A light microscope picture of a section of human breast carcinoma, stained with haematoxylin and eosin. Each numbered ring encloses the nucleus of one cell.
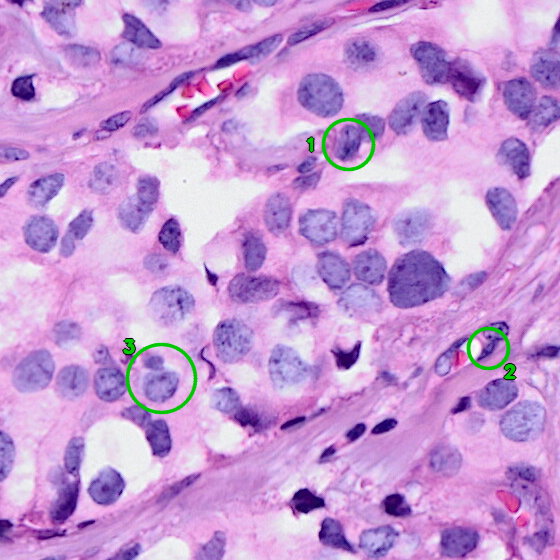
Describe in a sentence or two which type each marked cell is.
Cells 1 and 3 are carcinoma cells. Cell 2 is an endothelial cell.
